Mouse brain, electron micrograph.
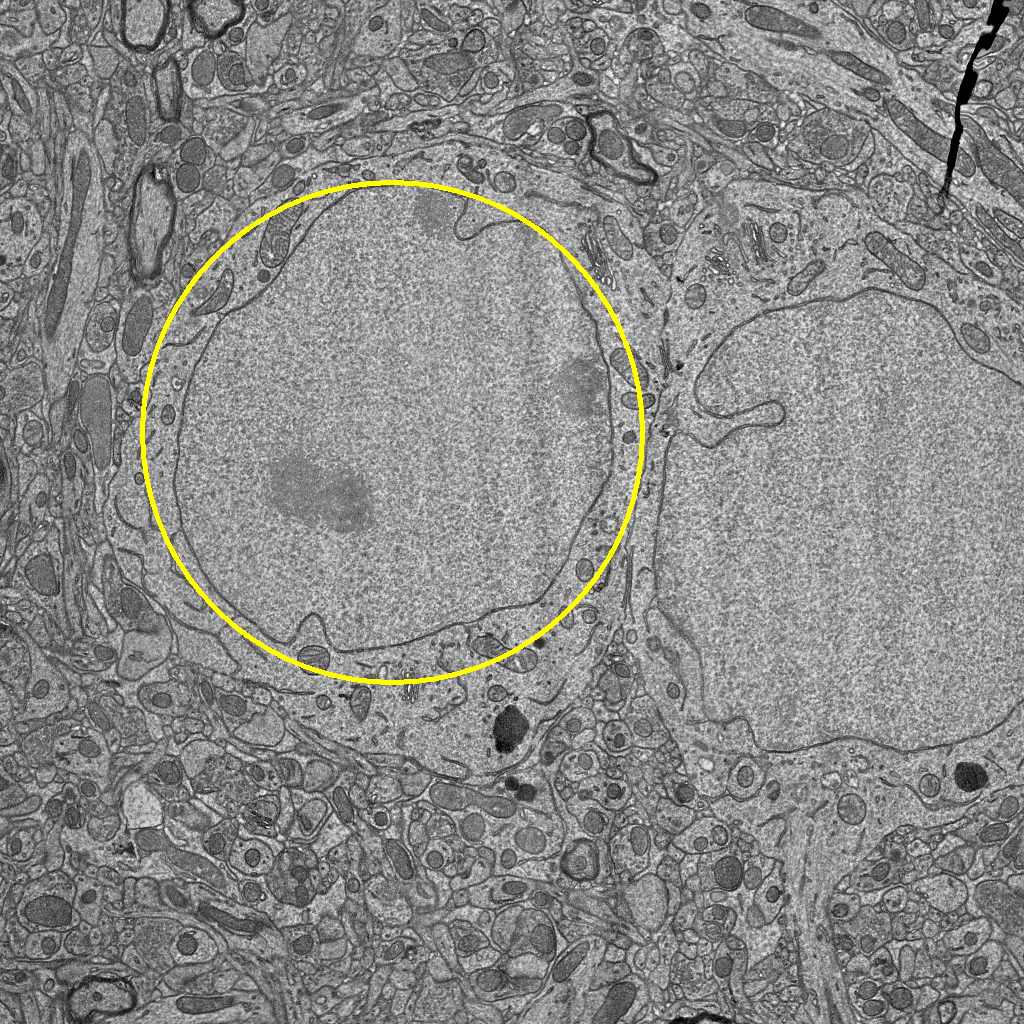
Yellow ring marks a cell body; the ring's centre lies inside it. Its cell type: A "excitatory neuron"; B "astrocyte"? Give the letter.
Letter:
A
